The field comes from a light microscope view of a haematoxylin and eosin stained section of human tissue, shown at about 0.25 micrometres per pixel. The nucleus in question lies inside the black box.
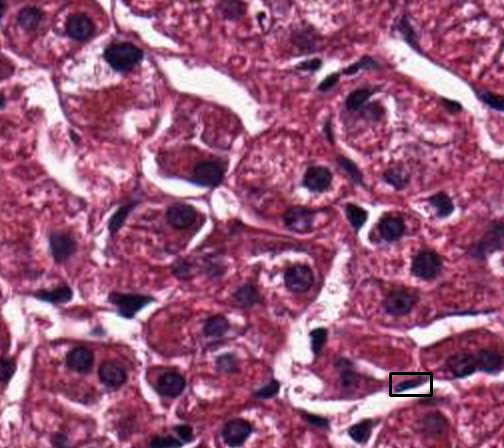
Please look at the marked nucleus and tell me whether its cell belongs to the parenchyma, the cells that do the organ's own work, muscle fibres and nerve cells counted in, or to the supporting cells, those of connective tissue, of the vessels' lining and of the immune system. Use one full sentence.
The marked nucleus is attributed to a supporting cell.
